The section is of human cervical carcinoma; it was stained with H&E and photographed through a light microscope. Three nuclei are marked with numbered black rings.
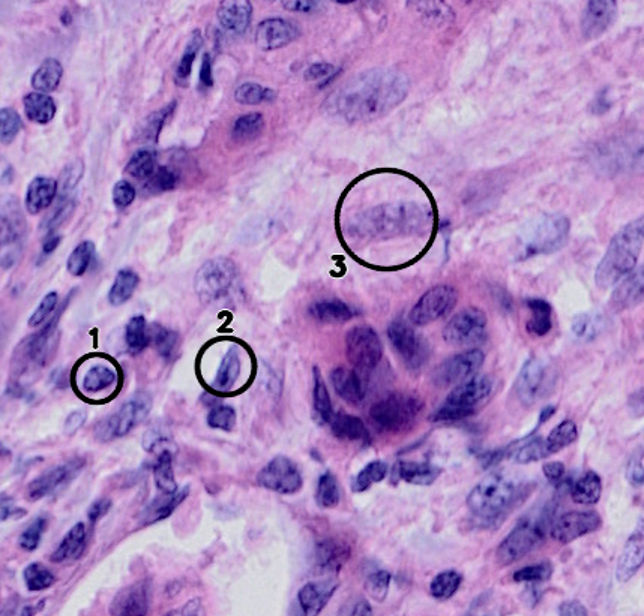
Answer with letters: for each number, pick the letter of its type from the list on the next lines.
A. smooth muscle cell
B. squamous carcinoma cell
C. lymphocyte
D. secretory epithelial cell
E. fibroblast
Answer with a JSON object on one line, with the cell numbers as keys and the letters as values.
{"1": "C", "2": "C", "3": "E"}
